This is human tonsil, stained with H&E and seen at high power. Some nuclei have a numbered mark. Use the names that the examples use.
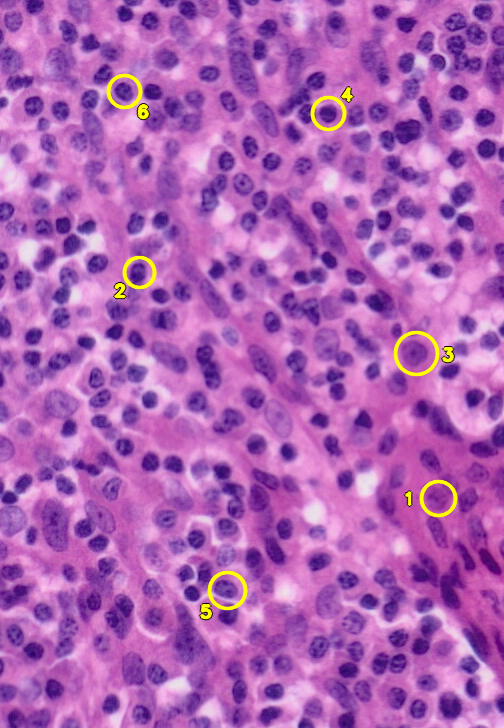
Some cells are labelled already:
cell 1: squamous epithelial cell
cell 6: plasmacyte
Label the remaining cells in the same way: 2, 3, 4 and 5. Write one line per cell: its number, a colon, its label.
2: plasmacyte
3: squamous epithelial cell
4: plasmacyte
5: plasmacyte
